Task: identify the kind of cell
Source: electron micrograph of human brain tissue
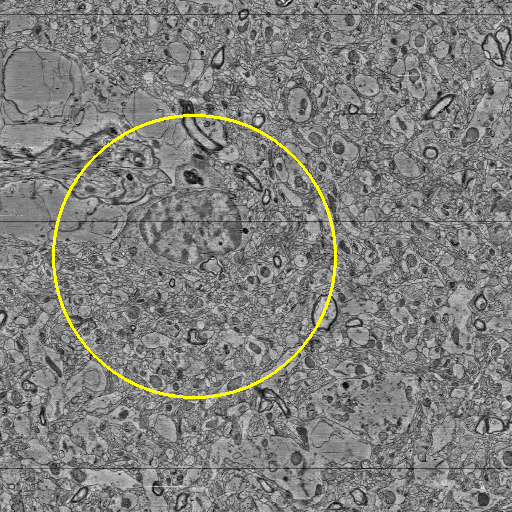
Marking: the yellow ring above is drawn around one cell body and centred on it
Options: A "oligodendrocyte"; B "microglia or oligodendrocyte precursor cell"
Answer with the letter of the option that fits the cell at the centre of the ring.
A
